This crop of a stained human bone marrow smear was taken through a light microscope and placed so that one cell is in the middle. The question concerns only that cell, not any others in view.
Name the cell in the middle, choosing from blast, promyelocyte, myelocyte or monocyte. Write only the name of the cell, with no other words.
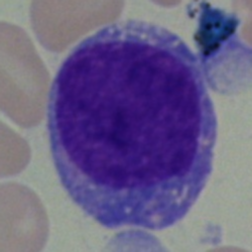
blast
